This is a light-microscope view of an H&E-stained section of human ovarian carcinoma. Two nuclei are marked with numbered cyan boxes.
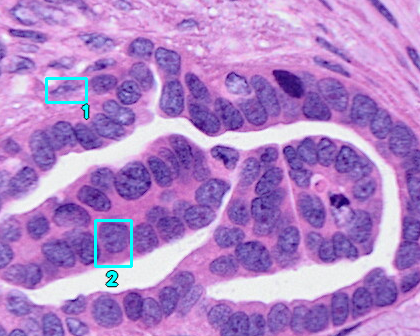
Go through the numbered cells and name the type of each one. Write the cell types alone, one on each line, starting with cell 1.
fibroblast
carcinoma cell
